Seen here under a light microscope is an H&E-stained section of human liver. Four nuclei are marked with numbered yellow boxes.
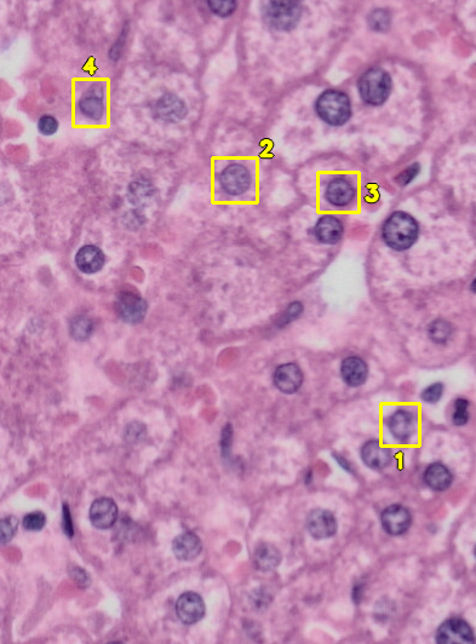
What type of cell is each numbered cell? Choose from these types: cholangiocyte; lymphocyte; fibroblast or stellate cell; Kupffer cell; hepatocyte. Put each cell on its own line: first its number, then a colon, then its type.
1: hepatocyte
2: hepatocyte
3: hepatocyte
4: Kupffer cell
